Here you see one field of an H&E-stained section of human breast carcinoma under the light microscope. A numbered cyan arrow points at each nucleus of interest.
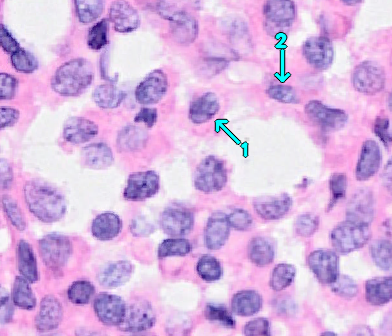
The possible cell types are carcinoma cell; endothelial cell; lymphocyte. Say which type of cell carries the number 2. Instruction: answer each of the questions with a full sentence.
The cell that goes by number 2 is an endothelial cell.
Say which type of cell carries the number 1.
The cell marked with number 1 is a carcinoma cell.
